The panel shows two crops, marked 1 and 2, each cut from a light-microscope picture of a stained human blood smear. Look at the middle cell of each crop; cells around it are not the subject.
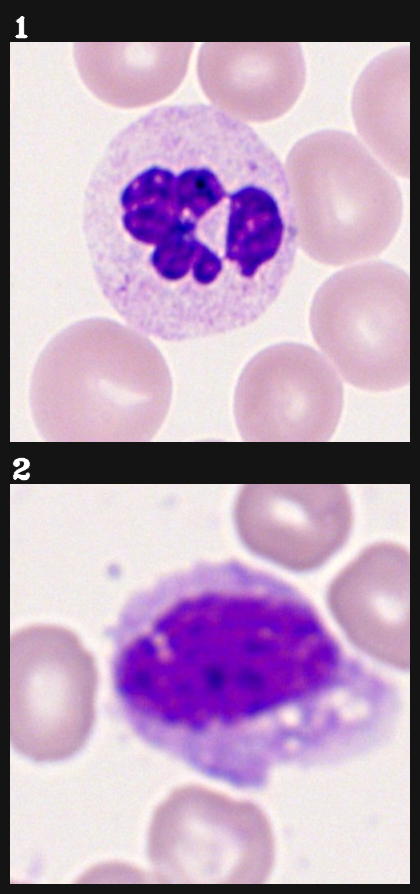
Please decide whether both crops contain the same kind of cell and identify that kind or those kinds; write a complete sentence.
No, crop 1 has a neutrophil at its center, and crop 2 has a monocyte.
